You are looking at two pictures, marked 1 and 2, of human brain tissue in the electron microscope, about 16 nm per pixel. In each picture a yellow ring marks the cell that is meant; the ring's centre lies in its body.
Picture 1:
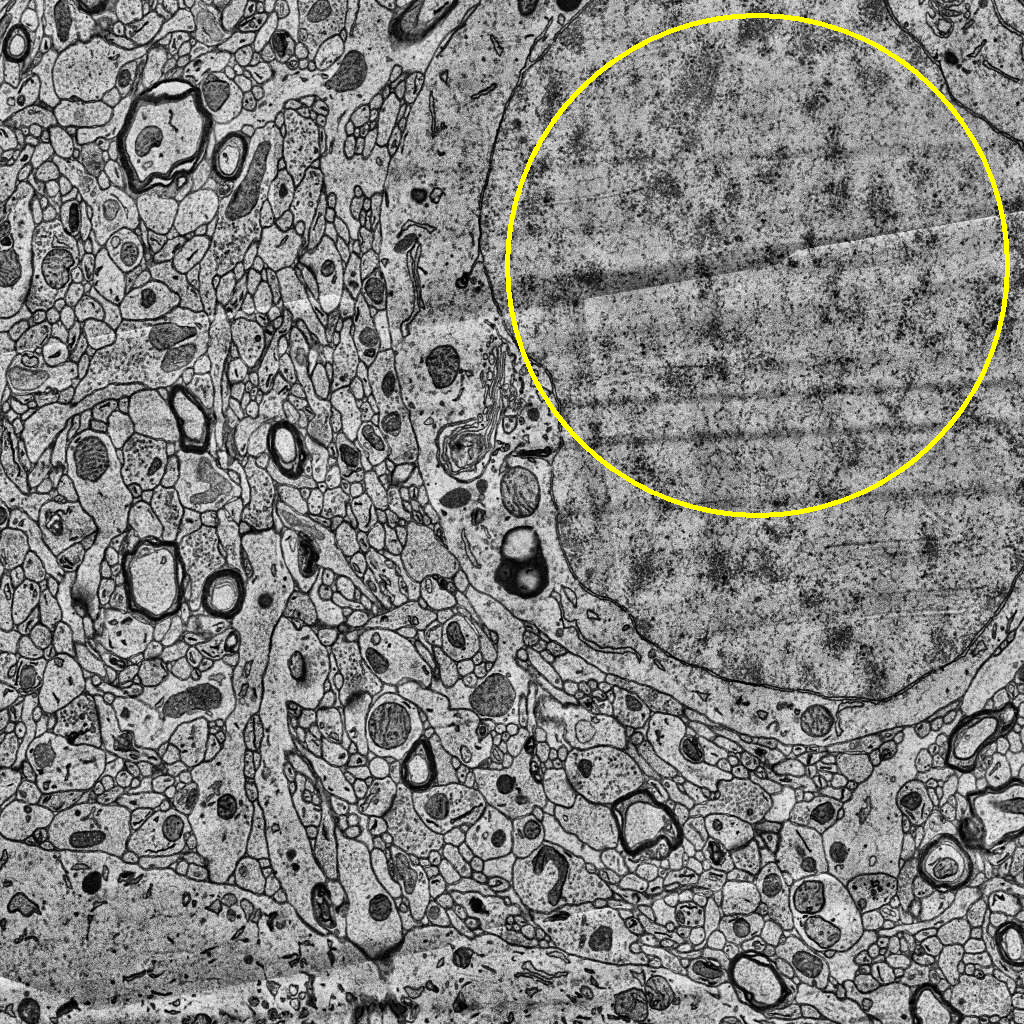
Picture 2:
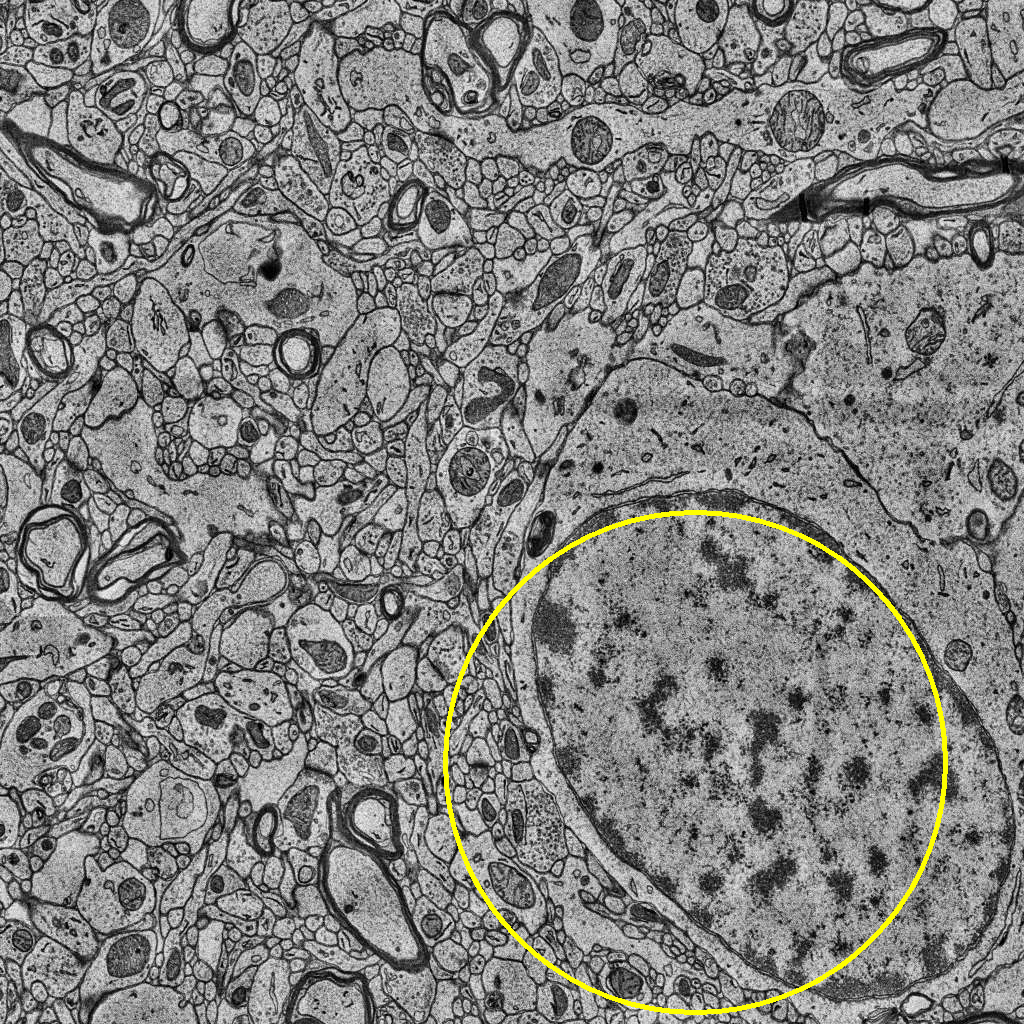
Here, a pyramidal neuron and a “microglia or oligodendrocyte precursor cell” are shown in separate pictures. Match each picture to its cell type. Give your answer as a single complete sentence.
It is picture 1 that shows a pyramidal neuron, and picture 2 that shows a “microglia or oligodendrocyte precursor cell”.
